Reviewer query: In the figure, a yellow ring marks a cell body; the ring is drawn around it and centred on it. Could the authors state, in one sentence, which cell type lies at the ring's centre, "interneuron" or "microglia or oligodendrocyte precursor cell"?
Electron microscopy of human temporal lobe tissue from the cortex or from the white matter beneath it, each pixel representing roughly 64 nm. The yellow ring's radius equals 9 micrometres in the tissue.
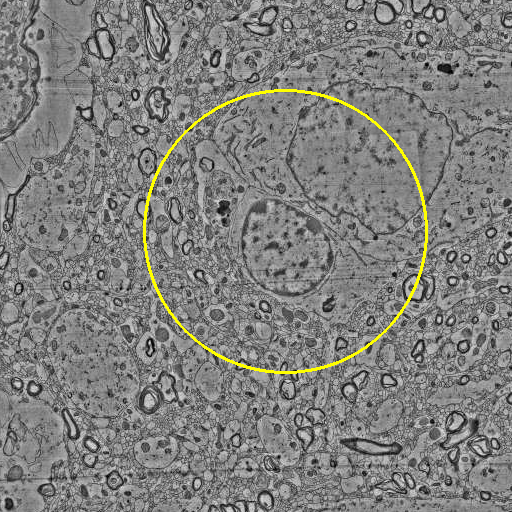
The ring is centred on a microglial cell or oligodendrocyte precursor cell.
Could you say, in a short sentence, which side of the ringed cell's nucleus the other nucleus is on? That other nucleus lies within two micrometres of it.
The other nucleus lies to the upper right of it.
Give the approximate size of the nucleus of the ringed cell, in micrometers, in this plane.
Roughly 6 micrometres across, measured in this plane.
